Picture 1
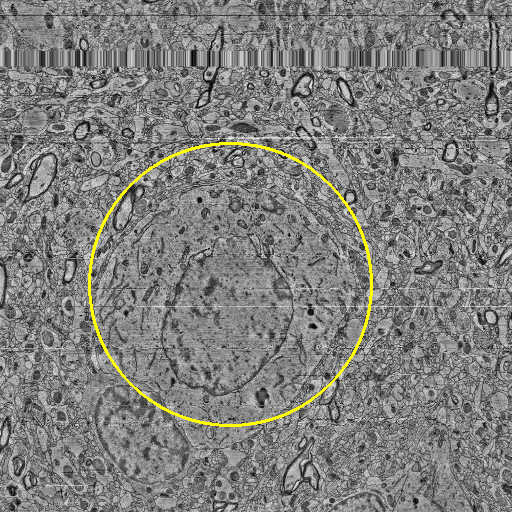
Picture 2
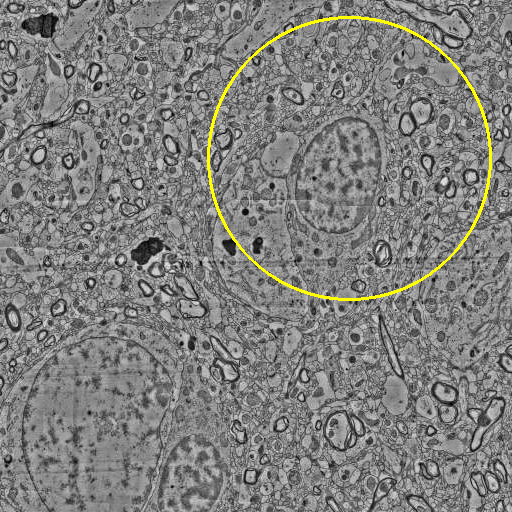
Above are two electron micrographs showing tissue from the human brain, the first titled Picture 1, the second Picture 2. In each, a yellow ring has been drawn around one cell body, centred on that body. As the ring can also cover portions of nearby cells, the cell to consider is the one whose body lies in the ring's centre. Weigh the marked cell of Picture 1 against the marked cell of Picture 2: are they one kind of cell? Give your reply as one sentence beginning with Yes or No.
No, the two cells sitting at the ring centres in the pictures are of two kinds.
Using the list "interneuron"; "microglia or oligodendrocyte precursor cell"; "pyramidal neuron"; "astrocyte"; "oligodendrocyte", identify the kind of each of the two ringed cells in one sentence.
The first is a pyramidal neuron and the second is an oligodendrocyte.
